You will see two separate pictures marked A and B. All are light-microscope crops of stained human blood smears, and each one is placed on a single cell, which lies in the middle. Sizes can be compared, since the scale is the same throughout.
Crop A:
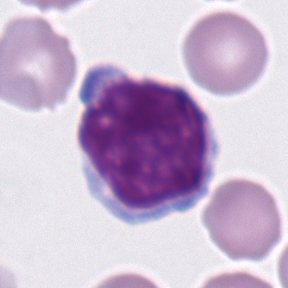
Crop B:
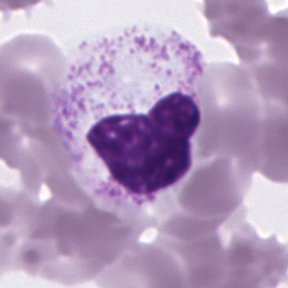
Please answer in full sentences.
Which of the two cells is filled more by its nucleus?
It is the cell in crop A that is filled more by its nucleus.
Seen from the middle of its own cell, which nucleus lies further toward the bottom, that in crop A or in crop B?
It is the nucleus in crop B that lies further toward the bottom of its cell.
